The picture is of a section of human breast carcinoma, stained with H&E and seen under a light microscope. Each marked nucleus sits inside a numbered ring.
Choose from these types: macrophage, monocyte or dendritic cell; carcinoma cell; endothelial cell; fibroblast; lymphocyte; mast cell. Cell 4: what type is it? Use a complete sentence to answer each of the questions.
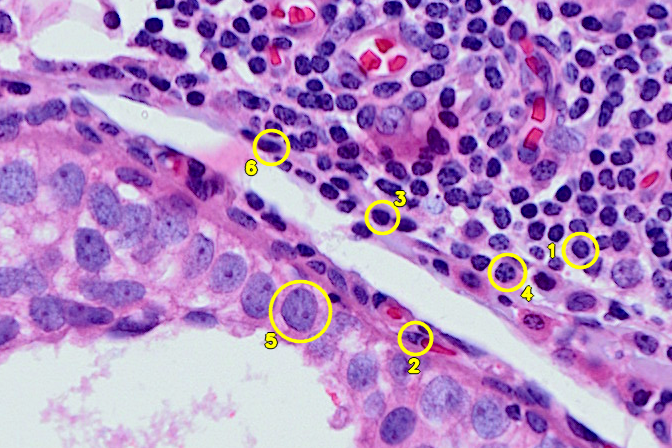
Cell 4 in the field is a mast cell.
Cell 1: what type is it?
The one numbered 1 among the marked cells is a lymphocyte.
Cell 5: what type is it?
The numbered cell 5 in this field is a carcinoma cell.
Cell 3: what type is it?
Nucleus 3 in this section belongs to a lymphocyte.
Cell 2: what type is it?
Regarding cell 2, this one is an endothelial cell.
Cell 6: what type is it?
The cell to which the number 6 is assigned is a lymphocyte.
